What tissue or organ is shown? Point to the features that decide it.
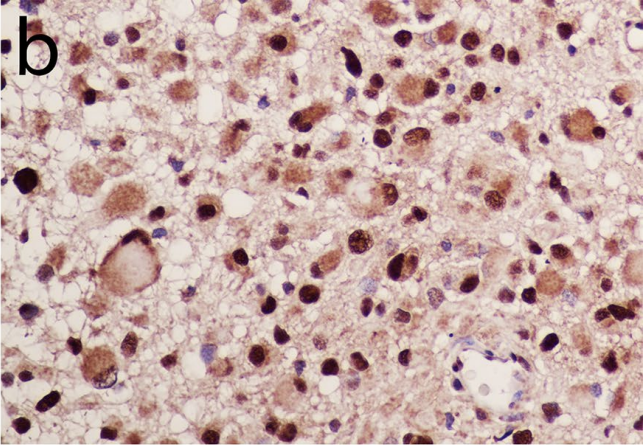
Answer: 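Gemistocytic astrocytoma. Many plump cells with abundant rounded cytoplasm. Nuclei pushed to the edge of the swollen cell bodies. Fibrillary, vacuolated glial background.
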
